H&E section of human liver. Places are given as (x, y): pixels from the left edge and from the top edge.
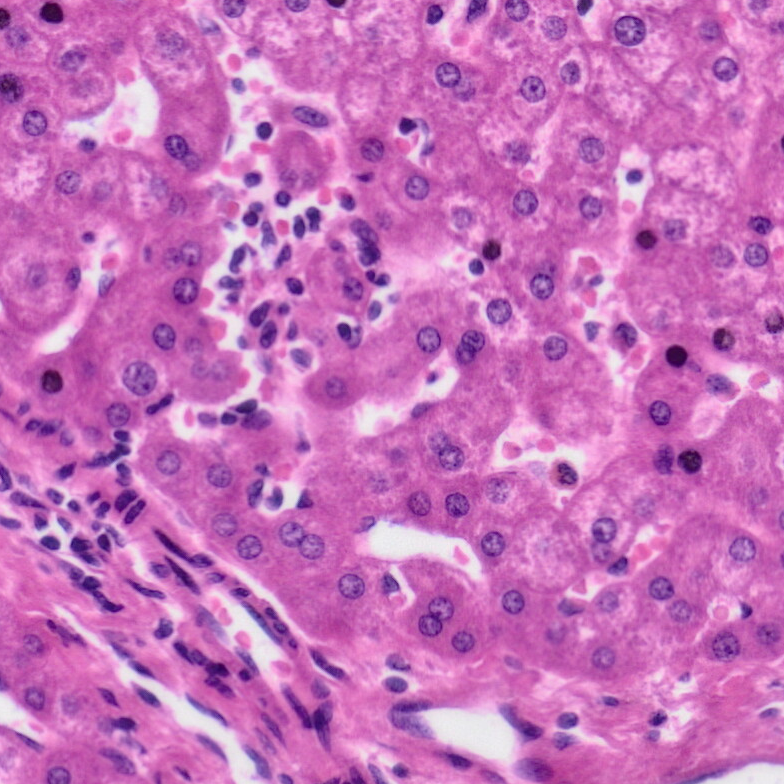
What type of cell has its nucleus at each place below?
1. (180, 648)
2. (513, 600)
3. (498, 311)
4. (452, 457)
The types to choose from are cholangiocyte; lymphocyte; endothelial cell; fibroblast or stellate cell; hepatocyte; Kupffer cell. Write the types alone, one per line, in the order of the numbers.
fibroblast or stellate cell
hepatocyte
hepatocyte
hepatocyte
